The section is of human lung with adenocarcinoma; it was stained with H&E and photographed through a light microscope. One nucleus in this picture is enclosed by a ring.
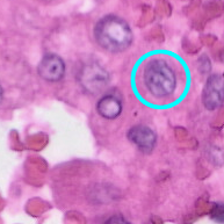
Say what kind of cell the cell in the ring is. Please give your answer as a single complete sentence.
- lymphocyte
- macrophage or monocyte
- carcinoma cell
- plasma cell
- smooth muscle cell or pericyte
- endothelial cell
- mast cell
For the purposes of cell typing, the cell in the ring is categorized as a macrophage or monocyte.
